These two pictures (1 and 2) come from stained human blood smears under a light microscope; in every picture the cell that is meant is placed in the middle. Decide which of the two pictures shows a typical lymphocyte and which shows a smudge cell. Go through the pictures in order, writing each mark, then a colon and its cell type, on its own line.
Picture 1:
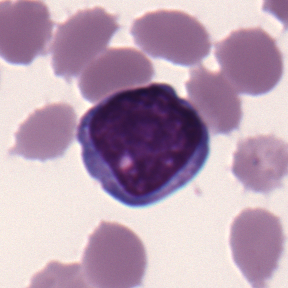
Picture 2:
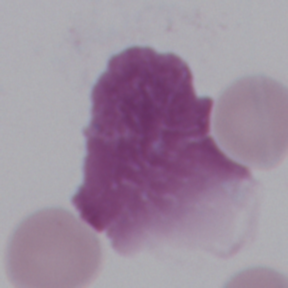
1: typical lymphocyte
2: smudge cell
